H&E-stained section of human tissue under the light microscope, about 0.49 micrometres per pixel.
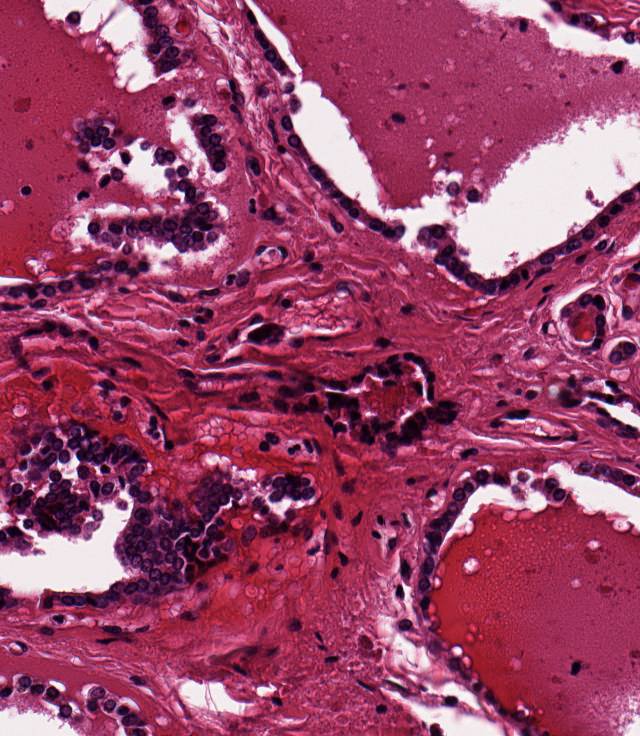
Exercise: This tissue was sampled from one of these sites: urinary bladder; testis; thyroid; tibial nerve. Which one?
thyroid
